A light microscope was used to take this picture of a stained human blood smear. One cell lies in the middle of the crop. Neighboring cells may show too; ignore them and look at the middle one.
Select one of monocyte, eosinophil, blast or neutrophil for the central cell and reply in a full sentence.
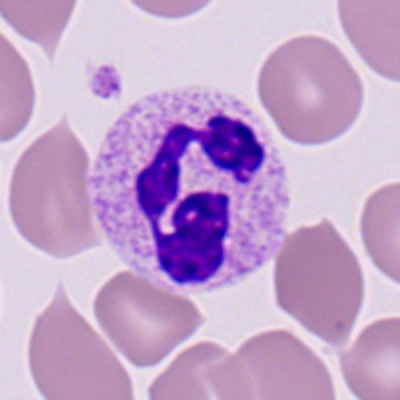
The cell the crop is centered on is a neutrophil.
